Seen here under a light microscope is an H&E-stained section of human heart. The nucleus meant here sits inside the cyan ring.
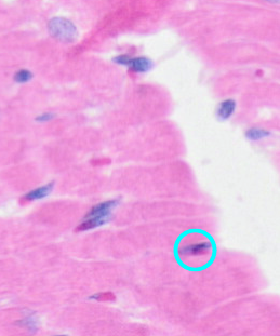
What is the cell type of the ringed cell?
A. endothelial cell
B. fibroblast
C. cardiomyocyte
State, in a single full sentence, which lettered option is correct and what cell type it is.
The correct option here, A, identifies the ringed cell as an endothelial cell.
